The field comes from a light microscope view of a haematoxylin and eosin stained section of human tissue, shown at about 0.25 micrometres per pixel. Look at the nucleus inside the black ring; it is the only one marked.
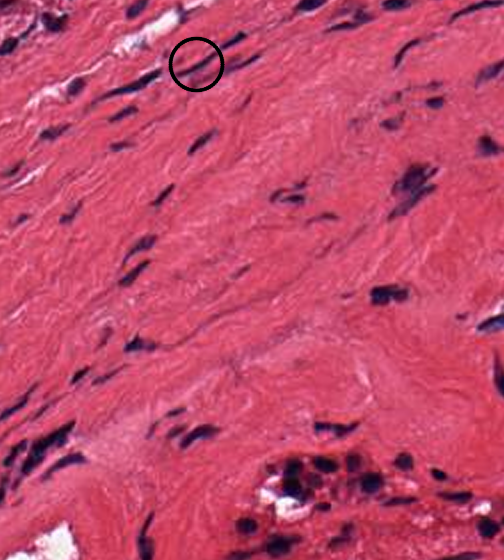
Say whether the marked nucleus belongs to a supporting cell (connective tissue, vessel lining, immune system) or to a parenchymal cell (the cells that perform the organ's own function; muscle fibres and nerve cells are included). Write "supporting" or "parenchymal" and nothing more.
supporting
